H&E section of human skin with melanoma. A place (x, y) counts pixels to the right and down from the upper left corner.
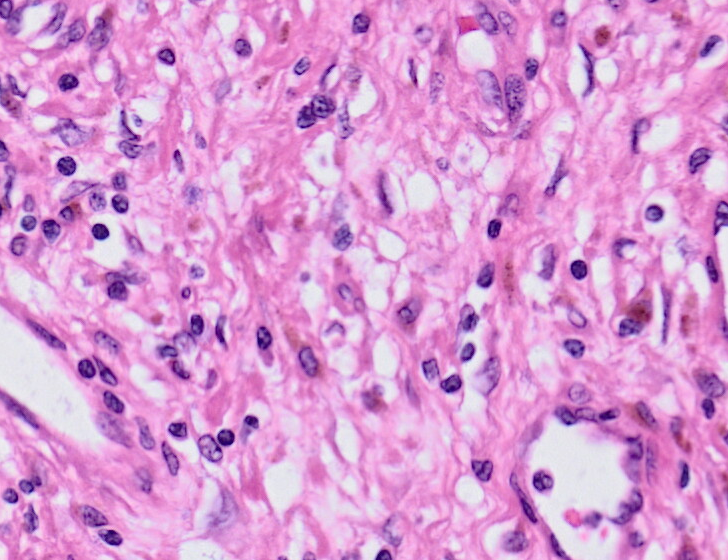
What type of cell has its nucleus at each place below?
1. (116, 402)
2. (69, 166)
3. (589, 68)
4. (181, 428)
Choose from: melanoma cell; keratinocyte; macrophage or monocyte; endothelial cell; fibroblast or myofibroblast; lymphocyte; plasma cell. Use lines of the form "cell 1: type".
cell 1: lymphocyte
cell 2: lymphocyte
cell 3: fibroblast or myofibroblast
cell 4: lymphocyte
